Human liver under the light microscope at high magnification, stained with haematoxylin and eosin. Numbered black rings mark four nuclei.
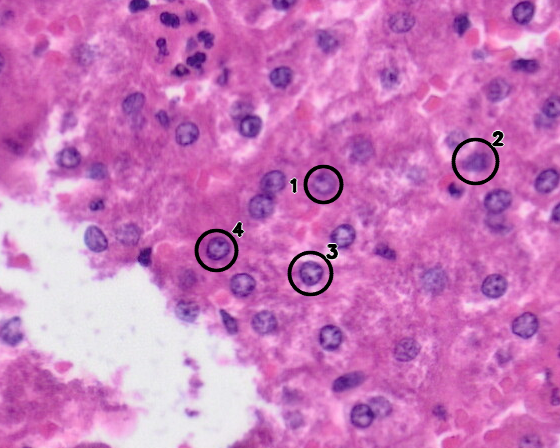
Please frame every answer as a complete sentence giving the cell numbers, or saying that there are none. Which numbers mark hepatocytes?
Cells that were given the numbers 1, 3 and 4 are hepatocytes.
